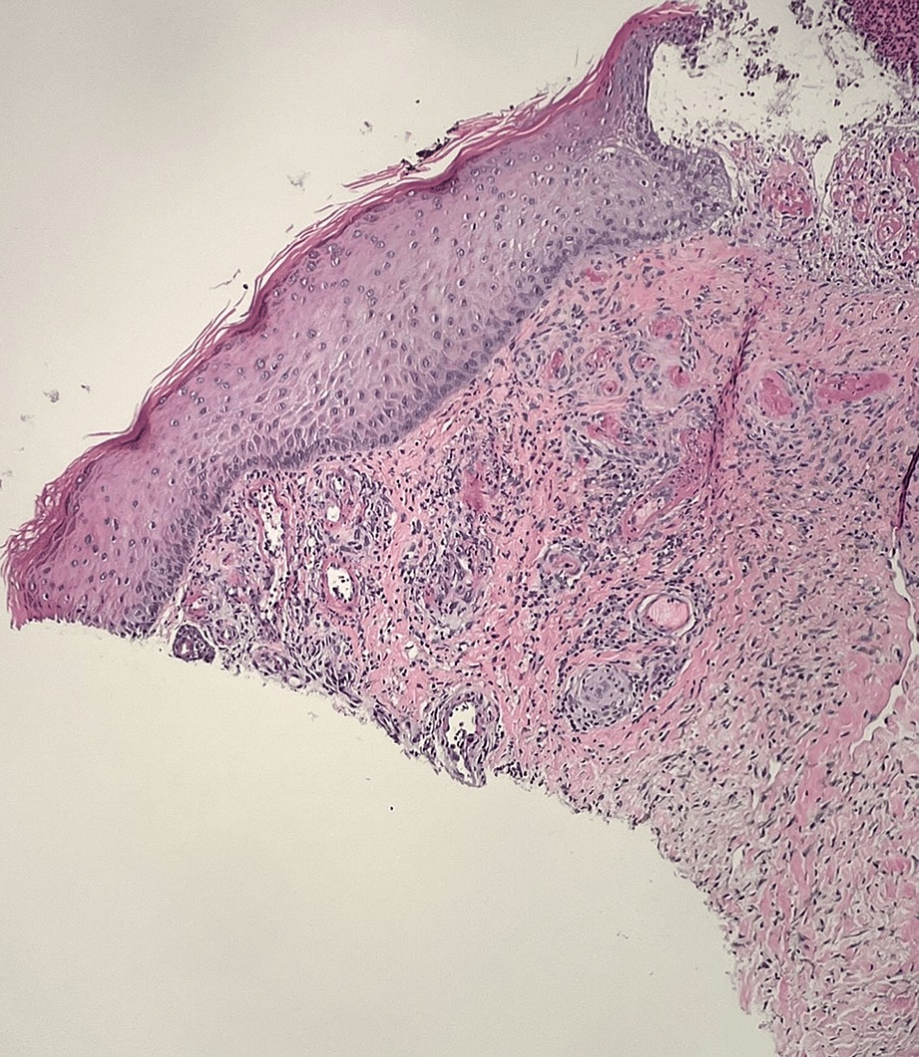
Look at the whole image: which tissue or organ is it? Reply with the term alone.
skin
